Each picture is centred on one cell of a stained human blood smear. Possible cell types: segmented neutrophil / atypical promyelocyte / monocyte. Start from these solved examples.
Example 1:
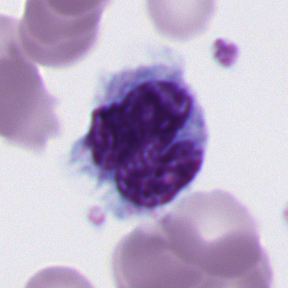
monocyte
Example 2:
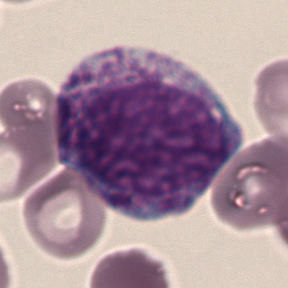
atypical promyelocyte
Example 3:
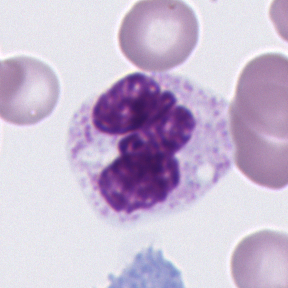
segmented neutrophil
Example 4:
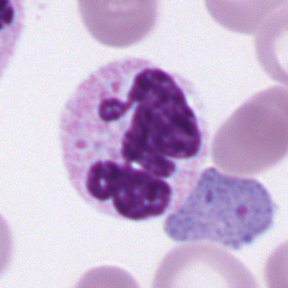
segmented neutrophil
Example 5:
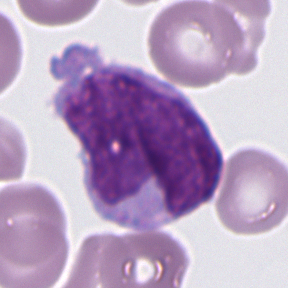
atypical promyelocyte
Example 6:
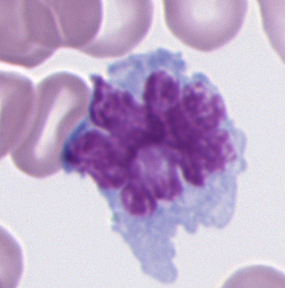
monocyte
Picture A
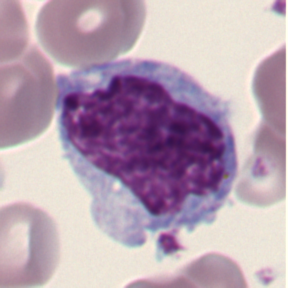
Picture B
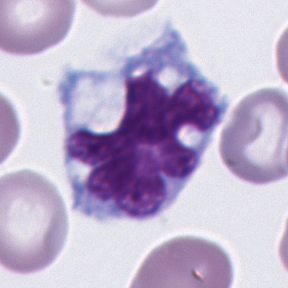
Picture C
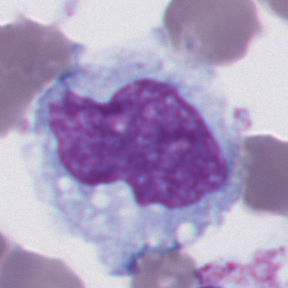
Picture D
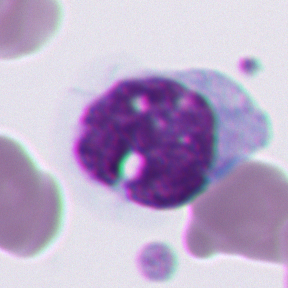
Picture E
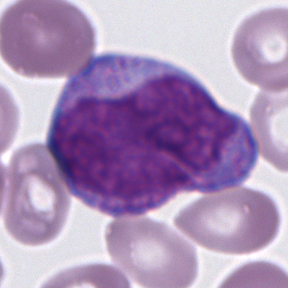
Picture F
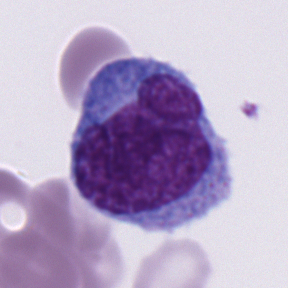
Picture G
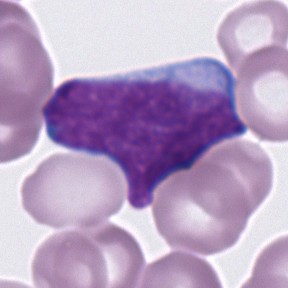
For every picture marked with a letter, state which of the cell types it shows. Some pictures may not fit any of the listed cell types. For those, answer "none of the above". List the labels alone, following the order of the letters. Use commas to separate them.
monocyte, monocyte, monocyte, monocyte, atypical promyelocyte, monocyte, none of the above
